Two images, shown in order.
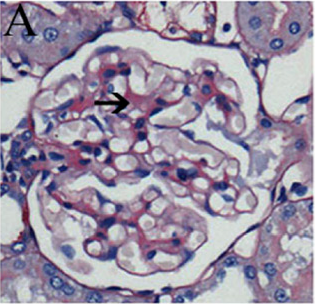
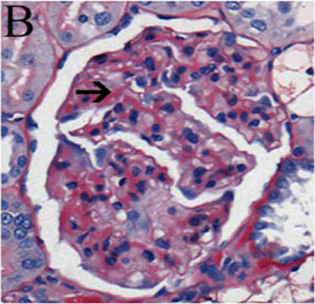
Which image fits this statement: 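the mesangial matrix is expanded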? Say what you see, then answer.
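Second image: the glomerular tuft is packed with abundant magenta material and few open capillary lumina. First image: the tuft shows many open, clear capillary loops with only thin magenta stalks between them. On this evidence: the second image.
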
